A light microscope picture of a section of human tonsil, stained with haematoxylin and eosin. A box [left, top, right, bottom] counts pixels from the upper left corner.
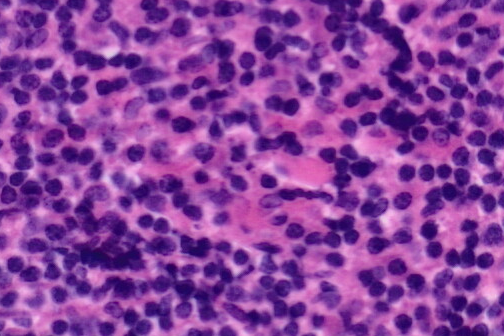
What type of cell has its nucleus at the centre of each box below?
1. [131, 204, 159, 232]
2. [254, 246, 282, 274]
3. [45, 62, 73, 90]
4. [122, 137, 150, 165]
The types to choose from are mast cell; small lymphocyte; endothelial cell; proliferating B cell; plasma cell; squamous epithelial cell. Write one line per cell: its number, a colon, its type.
1: small lymphocyte
2: small lymphocyte
3: small lymphocyte
4: plasma cell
